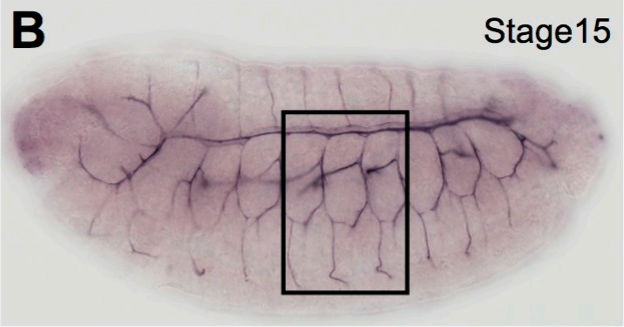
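A whole embryo seen from the side shows purple staining confined to a network of slender branched tubes. A long tube runs lengthwise along the embryo, and from it branches reach out in a regular, segment-by-segment pattern toward the belly side and toward each other. The rest of the embryo is only faintly tinted, so the branching network stands out. This pattern is the tracheal system.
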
